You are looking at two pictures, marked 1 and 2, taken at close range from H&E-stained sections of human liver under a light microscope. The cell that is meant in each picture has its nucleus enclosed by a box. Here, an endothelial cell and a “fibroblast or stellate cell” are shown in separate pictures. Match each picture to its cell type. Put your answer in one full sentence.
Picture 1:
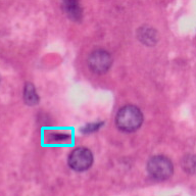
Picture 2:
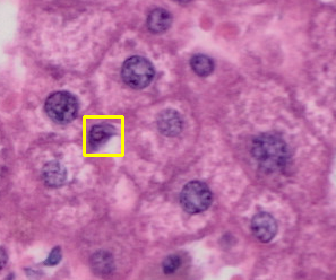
Picture 1 is of a “fibroblast or stellate cell”, and picture 2 is of an endothelial cell.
